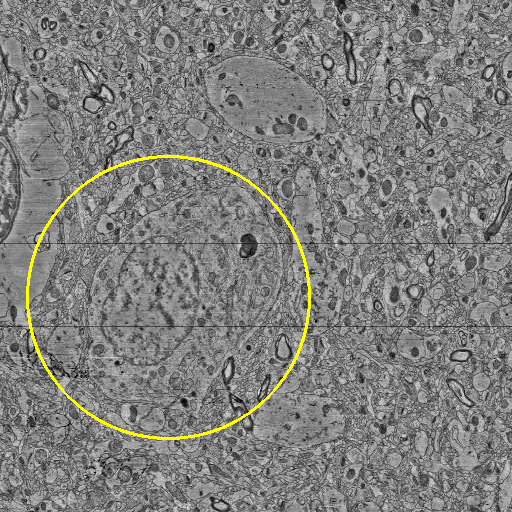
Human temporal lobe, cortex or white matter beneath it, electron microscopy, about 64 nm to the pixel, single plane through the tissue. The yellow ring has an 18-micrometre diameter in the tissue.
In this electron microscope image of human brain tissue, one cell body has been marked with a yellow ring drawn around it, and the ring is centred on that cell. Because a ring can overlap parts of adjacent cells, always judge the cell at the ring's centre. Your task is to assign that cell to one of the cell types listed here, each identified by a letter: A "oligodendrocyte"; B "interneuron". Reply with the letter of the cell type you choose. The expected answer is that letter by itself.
B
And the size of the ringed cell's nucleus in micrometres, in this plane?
The nucleus measures about 9 by 6 micrometres in this plane.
